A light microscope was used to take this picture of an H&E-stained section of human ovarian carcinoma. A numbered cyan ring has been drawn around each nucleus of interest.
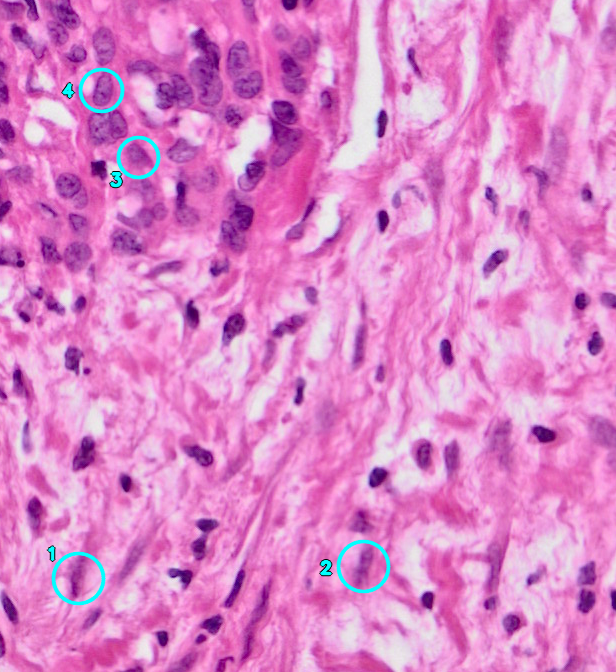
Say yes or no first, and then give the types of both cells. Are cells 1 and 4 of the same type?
No, the cell labelled 1 is a fibroblast; the cell labelled 4 is a carcinoma cell.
